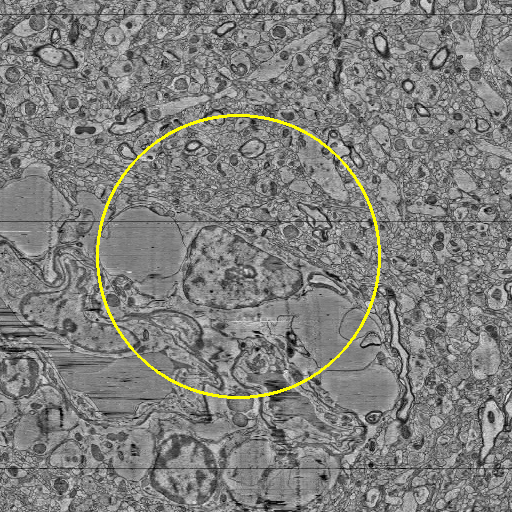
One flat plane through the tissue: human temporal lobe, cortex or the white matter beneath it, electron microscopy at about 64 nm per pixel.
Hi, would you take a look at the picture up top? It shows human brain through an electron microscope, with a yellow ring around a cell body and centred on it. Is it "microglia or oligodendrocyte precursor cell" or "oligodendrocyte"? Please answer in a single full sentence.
The best fit for the cell in the middle of the ring is a microglial cell or oligodendrocyte precursor cell, I reckon.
